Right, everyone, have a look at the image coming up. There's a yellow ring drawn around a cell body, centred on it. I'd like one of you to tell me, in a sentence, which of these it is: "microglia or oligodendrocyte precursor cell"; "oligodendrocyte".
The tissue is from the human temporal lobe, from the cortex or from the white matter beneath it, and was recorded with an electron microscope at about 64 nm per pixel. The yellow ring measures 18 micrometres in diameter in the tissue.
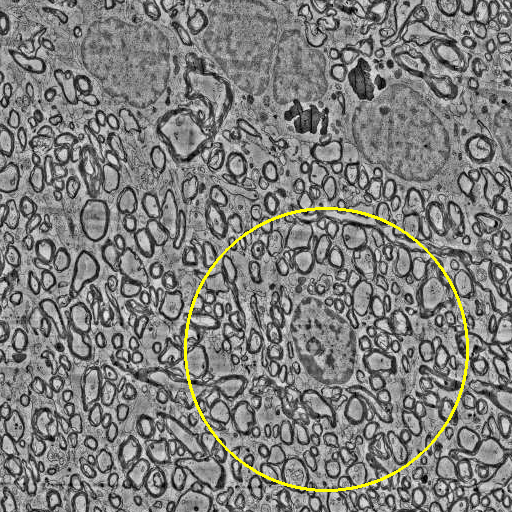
The yellow ring sits on a microglial cell or oligodendrocyte precursor cell.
